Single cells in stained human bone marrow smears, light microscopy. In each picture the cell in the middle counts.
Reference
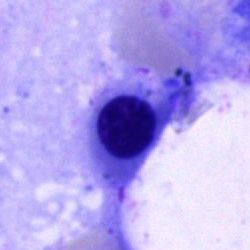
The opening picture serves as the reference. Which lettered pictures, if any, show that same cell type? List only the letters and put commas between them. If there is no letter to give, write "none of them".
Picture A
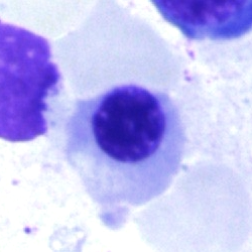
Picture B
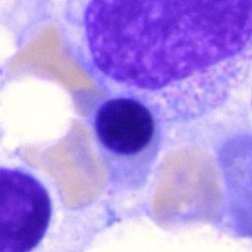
A, B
